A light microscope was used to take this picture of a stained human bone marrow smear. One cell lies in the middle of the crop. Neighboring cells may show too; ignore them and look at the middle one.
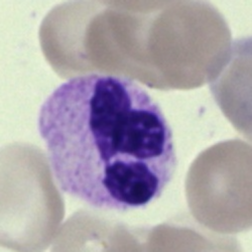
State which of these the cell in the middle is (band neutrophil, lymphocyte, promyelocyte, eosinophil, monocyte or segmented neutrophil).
segmented neutrophil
